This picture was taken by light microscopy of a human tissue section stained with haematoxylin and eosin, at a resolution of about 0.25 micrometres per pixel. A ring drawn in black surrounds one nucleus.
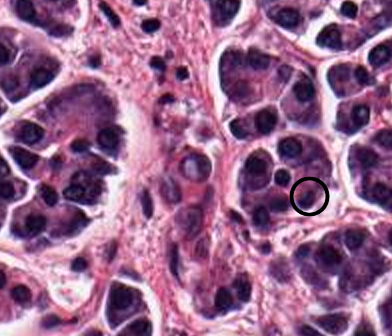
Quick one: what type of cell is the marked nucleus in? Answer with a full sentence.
The mark indicates the nucleus of a pancreatic acinar cell.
